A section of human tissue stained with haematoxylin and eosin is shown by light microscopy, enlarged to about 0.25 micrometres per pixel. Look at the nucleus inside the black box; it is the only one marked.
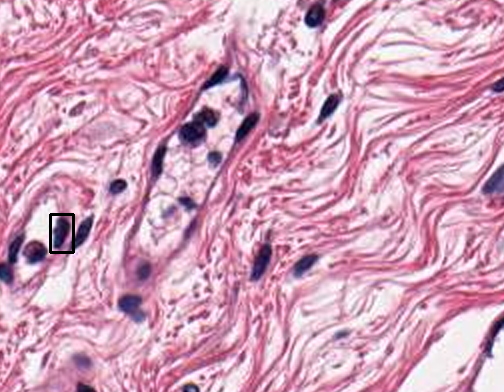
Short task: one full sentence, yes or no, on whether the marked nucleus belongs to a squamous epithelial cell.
No, that the marked nucleus belongs to a squamous epithelial cell does not hold; it belongs to a supporting cell.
